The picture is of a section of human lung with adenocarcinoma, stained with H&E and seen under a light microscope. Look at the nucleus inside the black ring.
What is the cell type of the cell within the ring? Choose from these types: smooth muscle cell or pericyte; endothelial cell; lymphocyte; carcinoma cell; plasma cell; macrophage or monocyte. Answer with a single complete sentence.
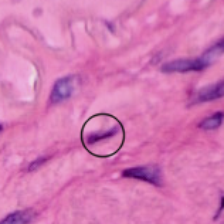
The cell within the ring is a smooth muscle cell or pericyte.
